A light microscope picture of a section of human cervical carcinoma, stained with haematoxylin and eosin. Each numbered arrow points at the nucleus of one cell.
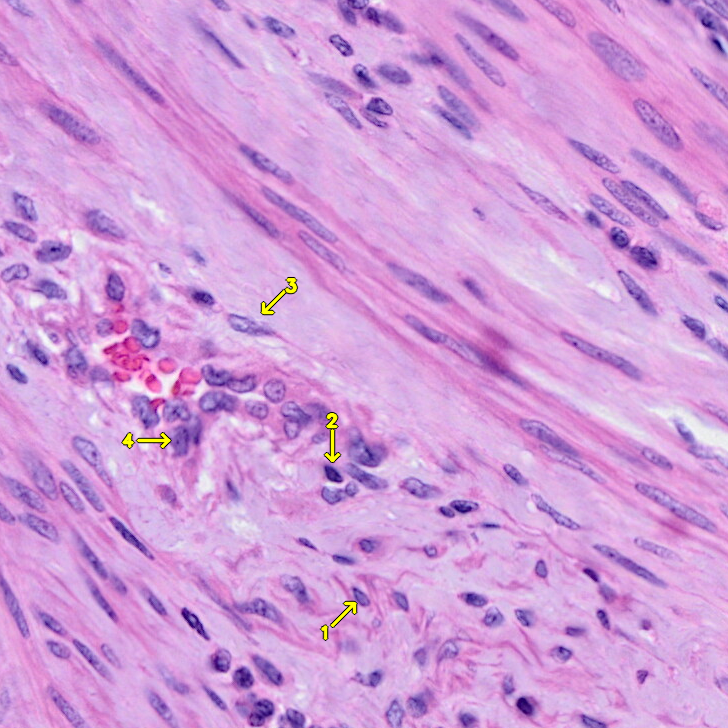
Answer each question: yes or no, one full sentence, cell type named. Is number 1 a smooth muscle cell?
Yes, to put it simply, cell number 1 is a smooth muscle cell.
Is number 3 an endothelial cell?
No, the cell denoted 3 is a fibroblast rather than an endothelial cell.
